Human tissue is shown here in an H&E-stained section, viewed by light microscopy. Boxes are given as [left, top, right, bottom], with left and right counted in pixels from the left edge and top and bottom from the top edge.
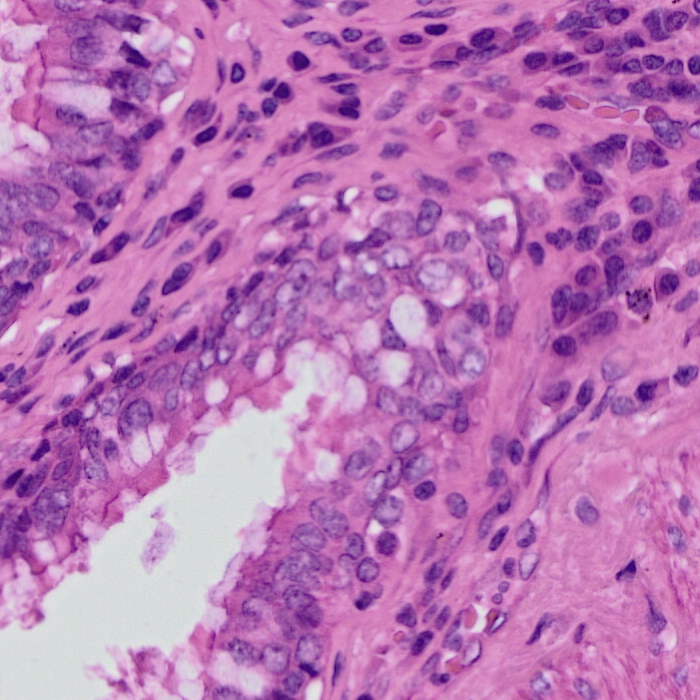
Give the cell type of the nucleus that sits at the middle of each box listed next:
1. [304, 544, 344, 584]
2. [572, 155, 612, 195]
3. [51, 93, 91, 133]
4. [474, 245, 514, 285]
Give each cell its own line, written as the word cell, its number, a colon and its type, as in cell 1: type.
cell 1: ciliated epithelial cell
cell 2: plasma cell
cell 3: ciliated epithelial cell
cell 4: ciliated epithelial cell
